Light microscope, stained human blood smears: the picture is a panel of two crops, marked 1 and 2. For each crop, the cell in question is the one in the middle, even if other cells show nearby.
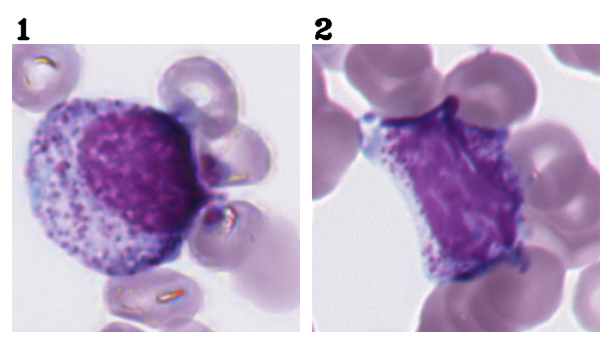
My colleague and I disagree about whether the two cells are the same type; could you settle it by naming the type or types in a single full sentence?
Yes, both crops are centred on cells that are myelocytes.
